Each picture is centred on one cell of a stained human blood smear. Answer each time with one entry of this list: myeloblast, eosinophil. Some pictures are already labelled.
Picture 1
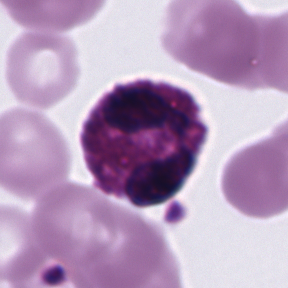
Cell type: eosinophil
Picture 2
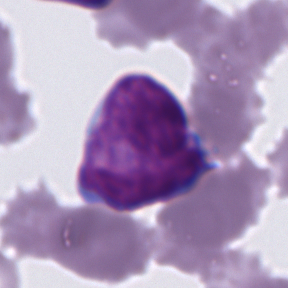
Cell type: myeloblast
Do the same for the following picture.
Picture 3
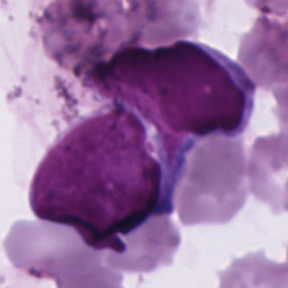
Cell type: myeloblast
